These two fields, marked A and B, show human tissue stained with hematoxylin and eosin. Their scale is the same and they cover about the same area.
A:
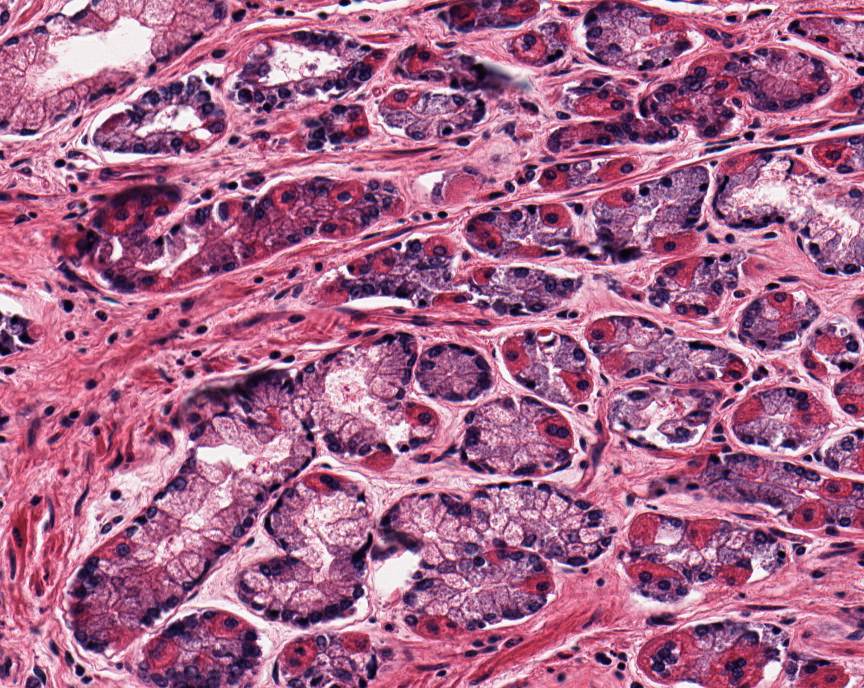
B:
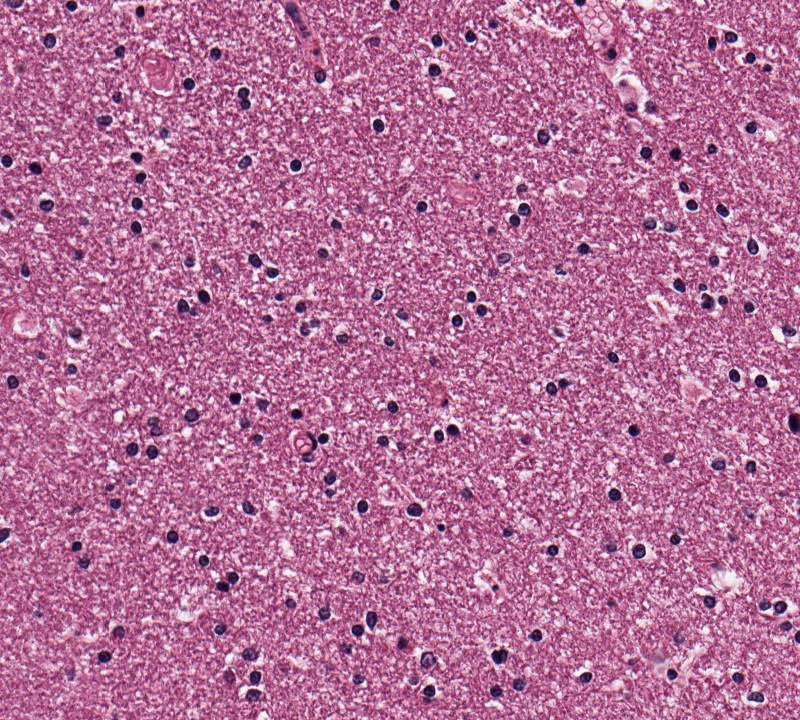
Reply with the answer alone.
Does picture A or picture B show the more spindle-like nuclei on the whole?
A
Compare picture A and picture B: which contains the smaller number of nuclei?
B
